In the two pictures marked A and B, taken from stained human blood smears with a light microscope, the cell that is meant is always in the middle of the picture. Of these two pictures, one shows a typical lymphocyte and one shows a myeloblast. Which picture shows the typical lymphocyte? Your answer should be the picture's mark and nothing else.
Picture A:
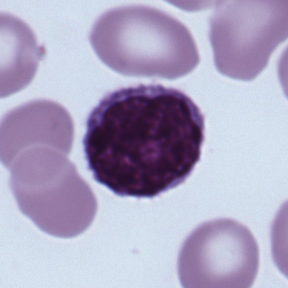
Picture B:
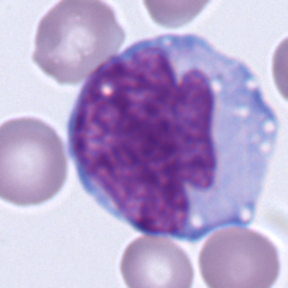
A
